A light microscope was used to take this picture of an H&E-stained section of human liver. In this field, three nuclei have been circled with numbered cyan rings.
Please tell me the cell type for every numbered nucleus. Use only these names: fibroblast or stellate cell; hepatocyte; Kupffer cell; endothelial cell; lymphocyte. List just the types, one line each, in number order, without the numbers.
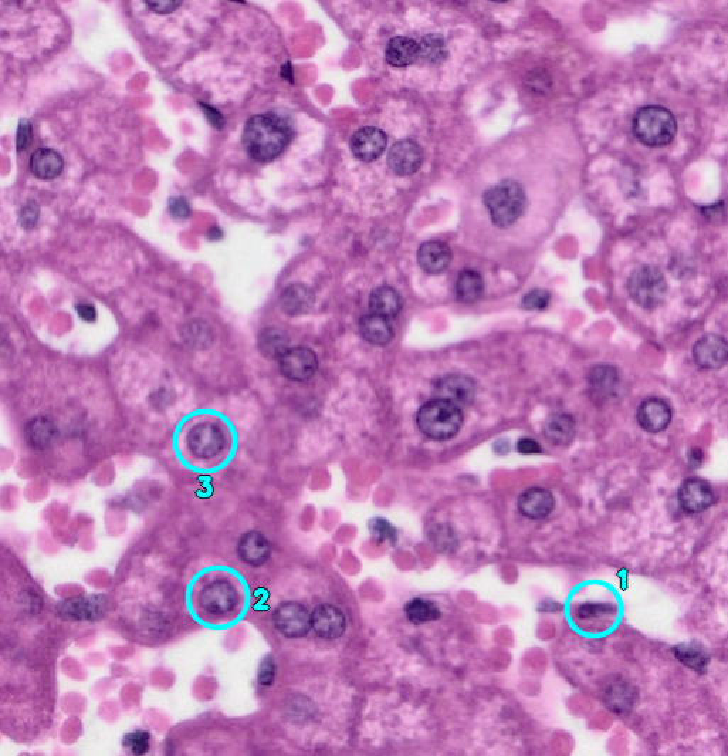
Kupffer cell
hepatocyte
hepatocyte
